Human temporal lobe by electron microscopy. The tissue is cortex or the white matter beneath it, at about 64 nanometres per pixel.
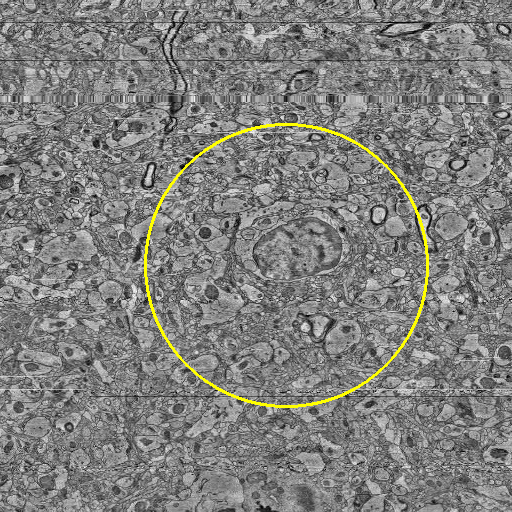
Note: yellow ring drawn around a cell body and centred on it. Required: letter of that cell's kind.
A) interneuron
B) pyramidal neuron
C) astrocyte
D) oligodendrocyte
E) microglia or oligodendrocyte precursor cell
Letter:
E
